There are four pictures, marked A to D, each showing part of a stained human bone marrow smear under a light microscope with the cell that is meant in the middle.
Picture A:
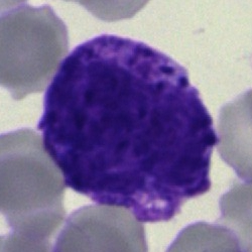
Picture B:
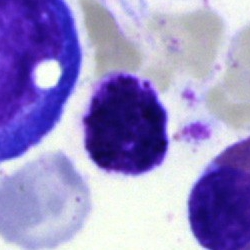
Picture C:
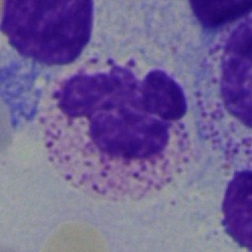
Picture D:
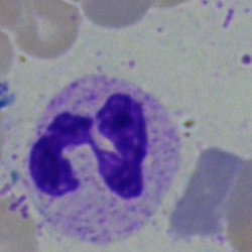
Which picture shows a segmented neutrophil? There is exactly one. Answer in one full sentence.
Picture D shows the segmented neutrophil.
